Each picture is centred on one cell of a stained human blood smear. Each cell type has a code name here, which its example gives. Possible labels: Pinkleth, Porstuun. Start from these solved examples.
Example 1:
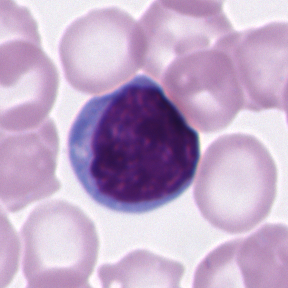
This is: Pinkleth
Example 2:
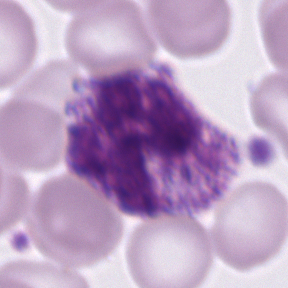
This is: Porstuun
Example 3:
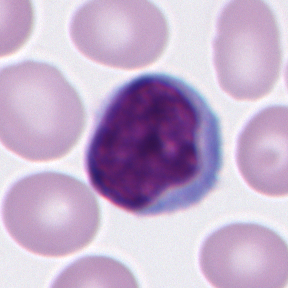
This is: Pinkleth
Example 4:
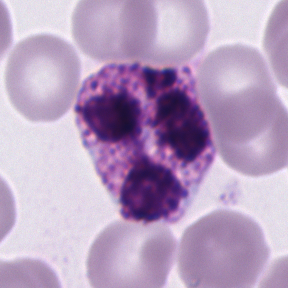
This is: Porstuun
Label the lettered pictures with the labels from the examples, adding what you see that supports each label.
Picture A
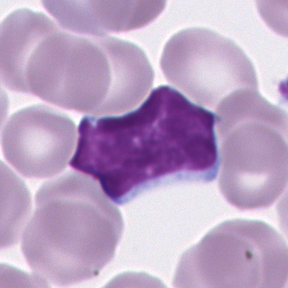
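Pinkleth: The nucleus is a single unlobed mass.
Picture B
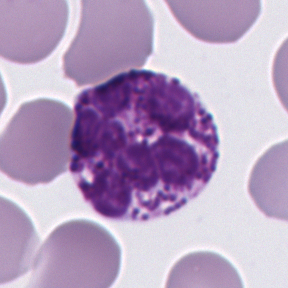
Porstuun: The cytoplasm seen between the granules is pale, almost colourless.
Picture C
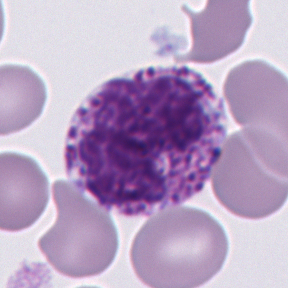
Porstuun: The granules are coarse and dark purple-black.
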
